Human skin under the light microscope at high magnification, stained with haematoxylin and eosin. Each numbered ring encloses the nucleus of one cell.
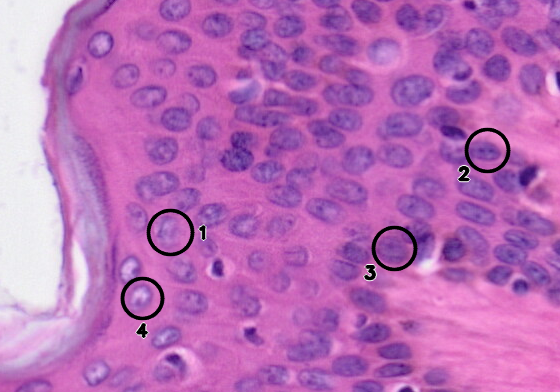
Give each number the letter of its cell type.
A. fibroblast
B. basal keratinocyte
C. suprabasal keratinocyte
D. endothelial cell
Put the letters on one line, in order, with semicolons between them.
C; B; B; C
